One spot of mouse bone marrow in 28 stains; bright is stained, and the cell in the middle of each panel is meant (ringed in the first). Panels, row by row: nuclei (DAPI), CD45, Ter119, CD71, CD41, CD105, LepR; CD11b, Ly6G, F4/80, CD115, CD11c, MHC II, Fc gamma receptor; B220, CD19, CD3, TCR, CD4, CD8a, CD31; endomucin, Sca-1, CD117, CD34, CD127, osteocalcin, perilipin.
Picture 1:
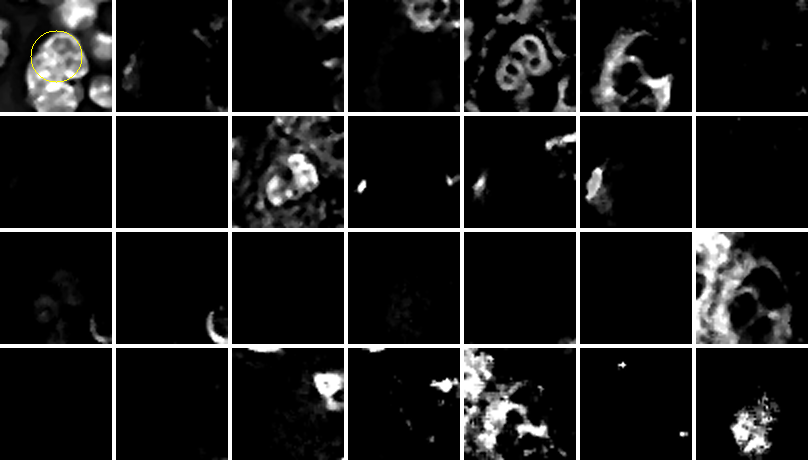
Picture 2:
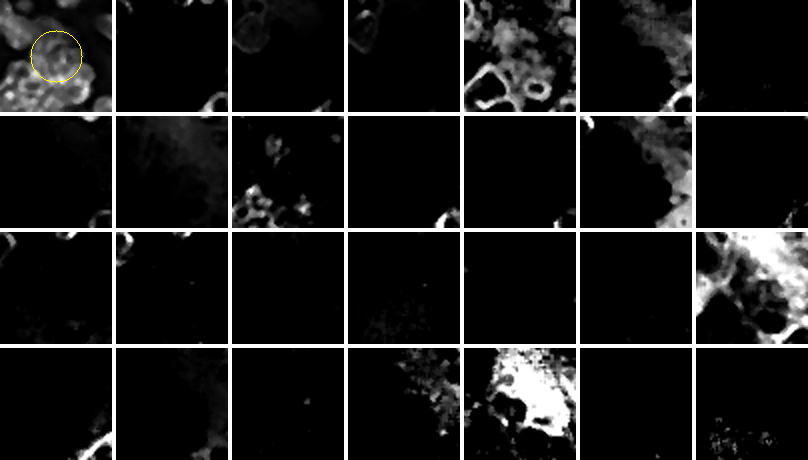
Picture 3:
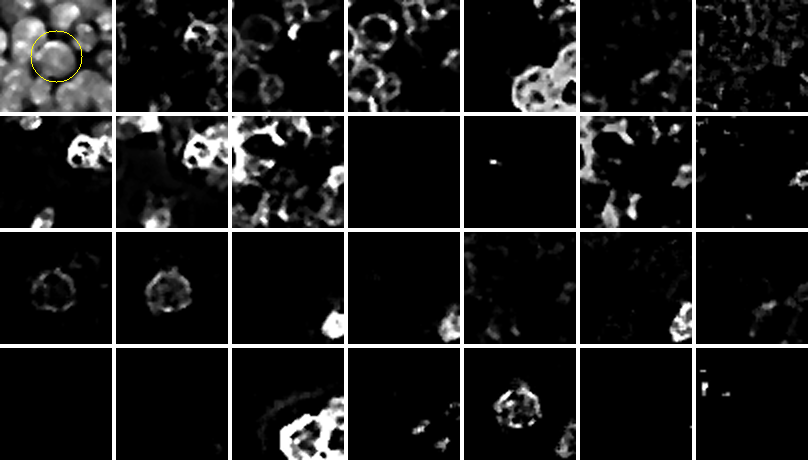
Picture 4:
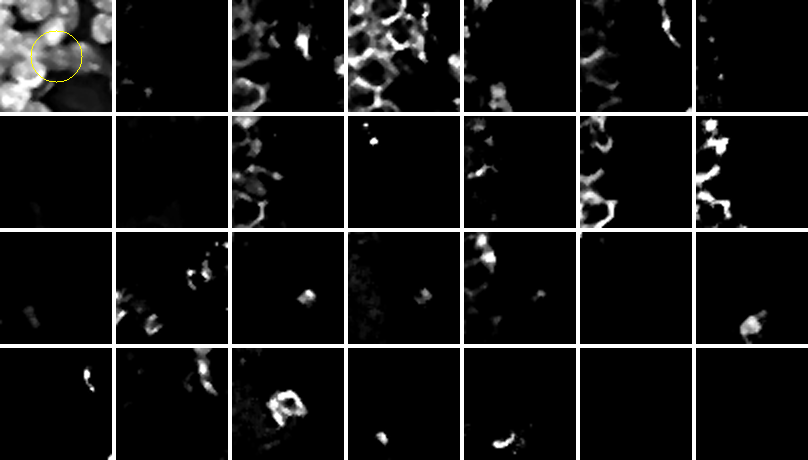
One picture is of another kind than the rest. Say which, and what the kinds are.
Picture 4 shows a megakaryocyte-erythroid progenitor; the rest show common lymphoid progenitors.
